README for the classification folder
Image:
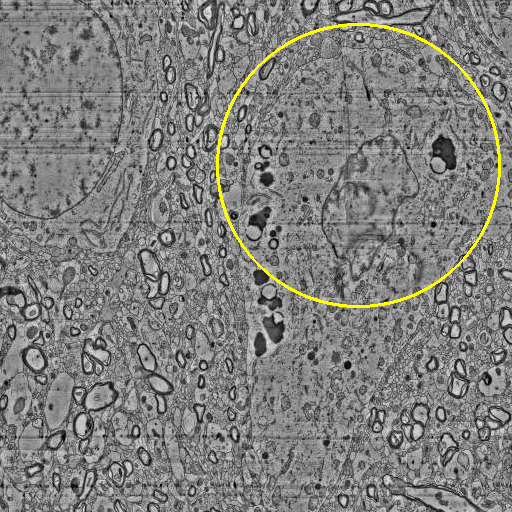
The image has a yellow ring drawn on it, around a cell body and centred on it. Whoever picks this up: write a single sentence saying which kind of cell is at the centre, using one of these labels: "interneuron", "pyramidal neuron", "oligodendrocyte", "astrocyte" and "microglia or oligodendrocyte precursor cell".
This cell body is that of a pyramidal neuron.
